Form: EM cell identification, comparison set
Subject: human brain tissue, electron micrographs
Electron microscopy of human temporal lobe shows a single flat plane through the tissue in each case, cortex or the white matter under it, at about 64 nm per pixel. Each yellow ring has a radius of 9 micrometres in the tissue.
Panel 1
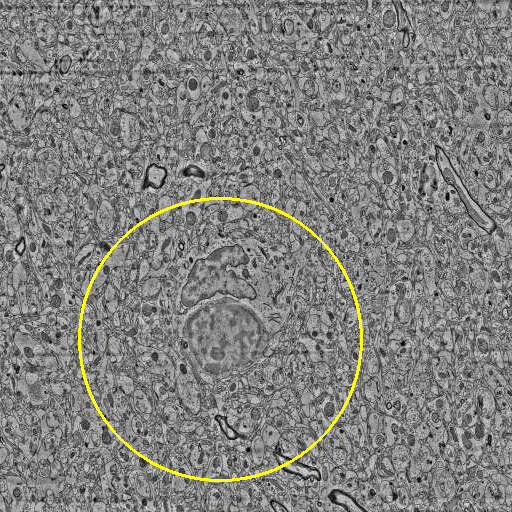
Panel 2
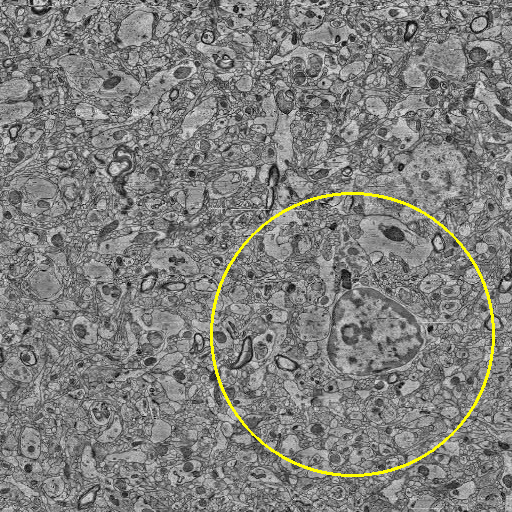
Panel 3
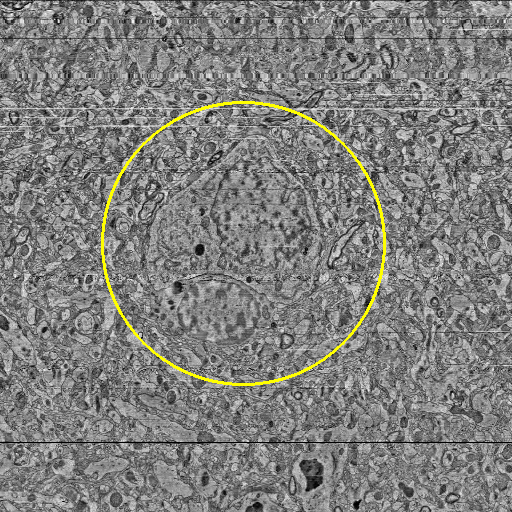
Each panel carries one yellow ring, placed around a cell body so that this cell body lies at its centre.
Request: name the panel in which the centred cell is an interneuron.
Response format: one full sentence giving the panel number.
Panel 3 has it at the centre of its ring.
